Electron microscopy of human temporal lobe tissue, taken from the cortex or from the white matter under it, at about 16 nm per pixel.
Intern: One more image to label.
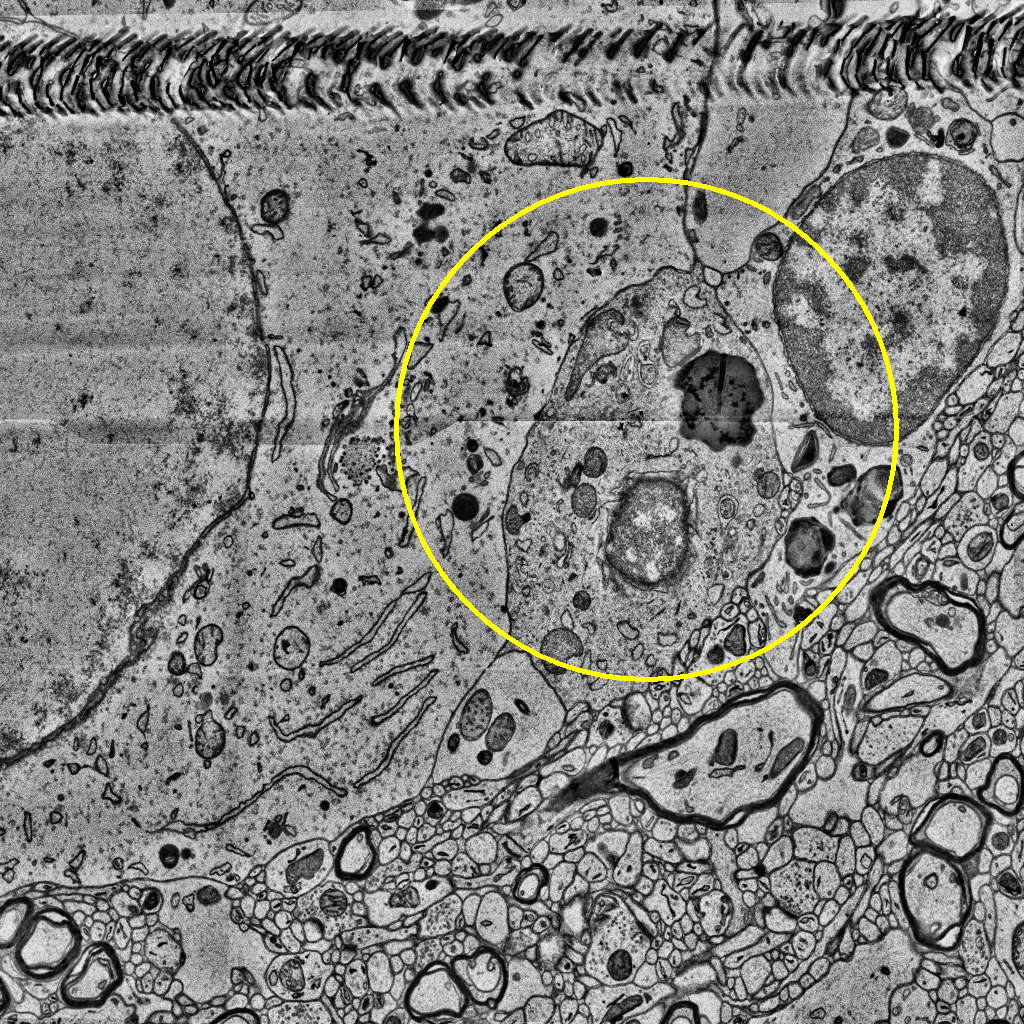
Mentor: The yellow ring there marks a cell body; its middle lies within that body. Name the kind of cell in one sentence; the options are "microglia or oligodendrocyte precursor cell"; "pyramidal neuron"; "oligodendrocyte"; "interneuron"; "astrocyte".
The ring marks the cell body of an oligodendrocyte.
